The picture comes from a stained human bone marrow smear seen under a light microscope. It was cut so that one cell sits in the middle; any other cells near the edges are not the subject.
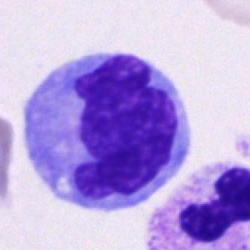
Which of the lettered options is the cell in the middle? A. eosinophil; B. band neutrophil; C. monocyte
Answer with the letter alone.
C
